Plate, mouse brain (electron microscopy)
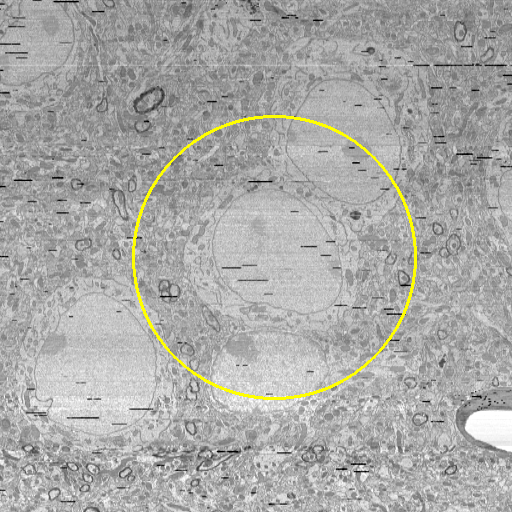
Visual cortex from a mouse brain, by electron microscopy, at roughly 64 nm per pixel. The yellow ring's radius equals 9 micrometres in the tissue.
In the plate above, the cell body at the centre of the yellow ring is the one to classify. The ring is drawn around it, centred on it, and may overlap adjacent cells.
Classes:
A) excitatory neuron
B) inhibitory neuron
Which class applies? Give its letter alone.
A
